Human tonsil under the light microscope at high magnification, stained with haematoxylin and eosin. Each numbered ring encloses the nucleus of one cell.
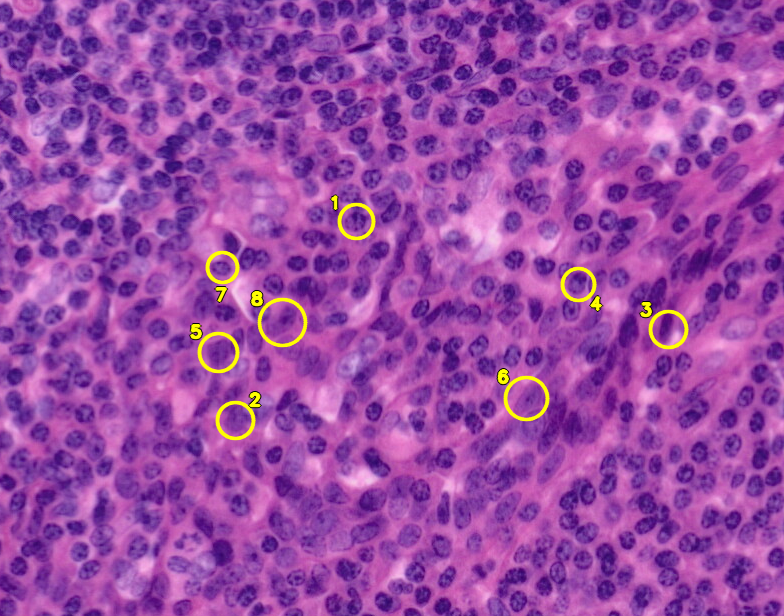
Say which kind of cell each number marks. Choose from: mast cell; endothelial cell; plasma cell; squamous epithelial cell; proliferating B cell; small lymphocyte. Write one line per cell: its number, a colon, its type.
1: plasma cell
2: squamous epithelial cell
3: squamous epithelial cell
4: plasma cell
5: squamous epithelial cell
6: squamous epithelial cell
7: plasma cell
8: squamous epithelial cell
